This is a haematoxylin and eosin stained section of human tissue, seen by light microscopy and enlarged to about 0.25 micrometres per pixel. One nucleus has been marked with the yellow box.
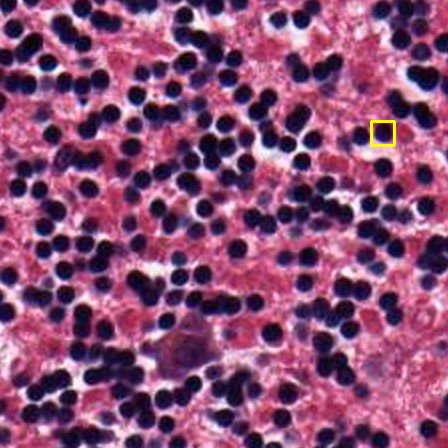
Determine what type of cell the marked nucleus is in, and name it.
cerebellar granule cell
